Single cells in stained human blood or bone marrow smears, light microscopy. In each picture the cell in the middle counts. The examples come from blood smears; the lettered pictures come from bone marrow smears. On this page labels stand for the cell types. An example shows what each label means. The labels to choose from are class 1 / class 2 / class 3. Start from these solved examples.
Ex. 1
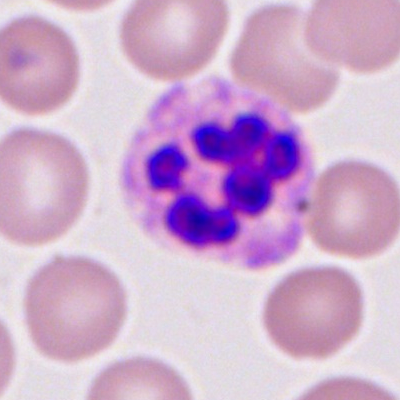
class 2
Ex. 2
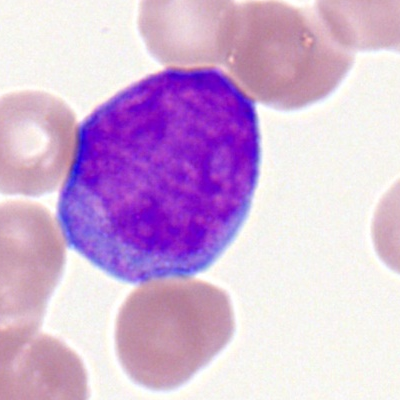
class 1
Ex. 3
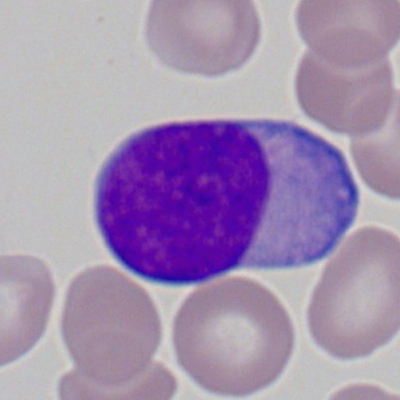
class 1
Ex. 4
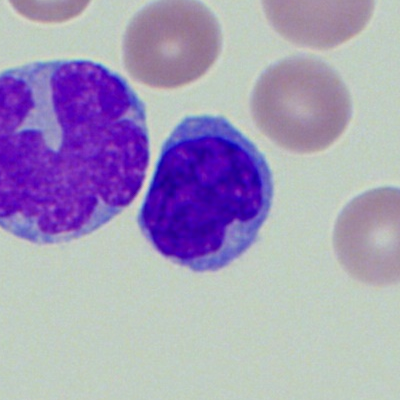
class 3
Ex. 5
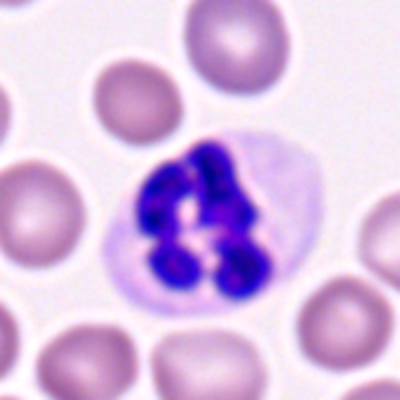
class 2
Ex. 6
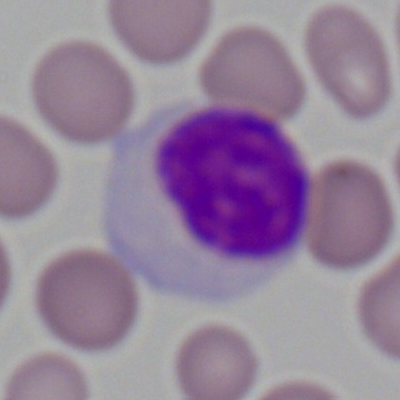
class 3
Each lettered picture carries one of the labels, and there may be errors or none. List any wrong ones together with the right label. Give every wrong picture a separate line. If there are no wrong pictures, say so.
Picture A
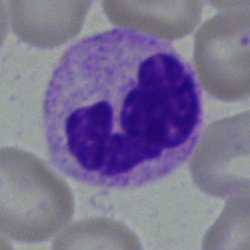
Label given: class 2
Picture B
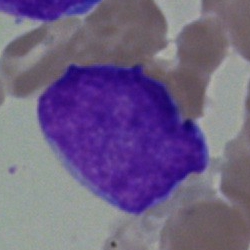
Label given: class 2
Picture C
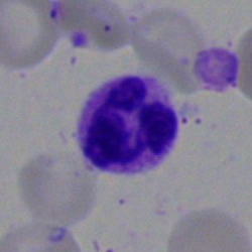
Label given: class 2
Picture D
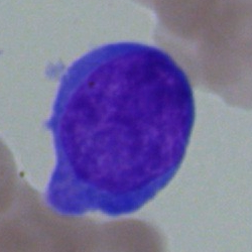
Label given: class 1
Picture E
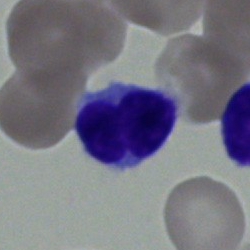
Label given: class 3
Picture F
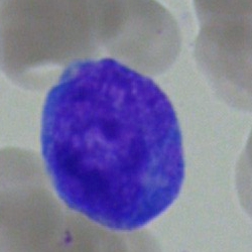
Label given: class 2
Wrong: B (class 2); correct: class 1
Wrong: F (class 2); correct: class 1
